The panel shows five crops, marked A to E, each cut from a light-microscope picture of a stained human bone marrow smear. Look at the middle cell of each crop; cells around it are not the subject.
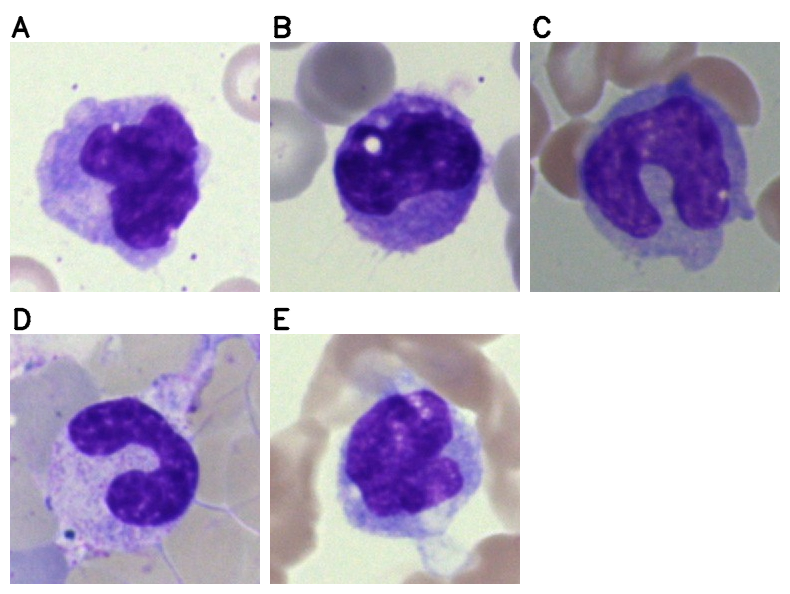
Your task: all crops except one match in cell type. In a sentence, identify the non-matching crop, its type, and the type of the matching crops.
Apart from crop D, which shows a band neutrophil, every crop shows monocytes.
